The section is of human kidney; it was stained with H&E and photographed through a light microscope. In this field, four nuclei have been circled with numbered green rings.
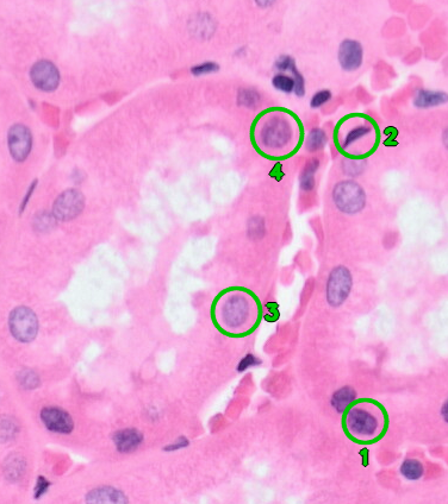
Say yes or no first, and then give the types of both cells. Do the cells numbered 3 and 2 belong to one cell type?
No, hold on, cell 3 is a proximal tubule cell and cell 2 is an endothelial cell.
